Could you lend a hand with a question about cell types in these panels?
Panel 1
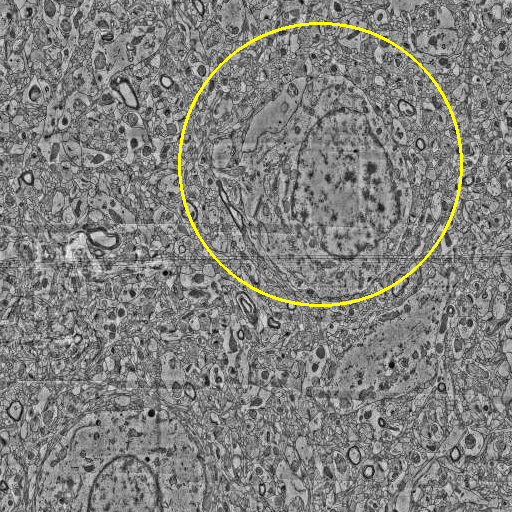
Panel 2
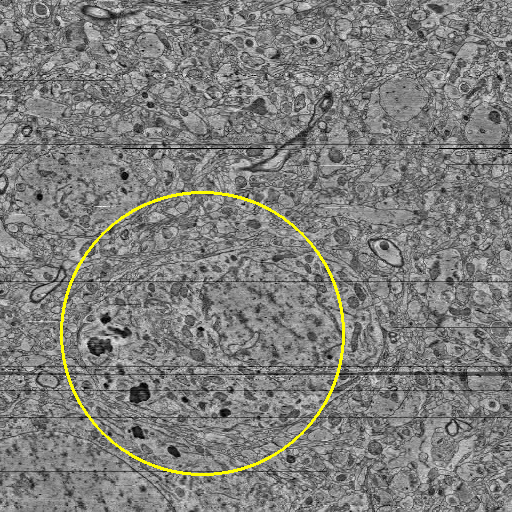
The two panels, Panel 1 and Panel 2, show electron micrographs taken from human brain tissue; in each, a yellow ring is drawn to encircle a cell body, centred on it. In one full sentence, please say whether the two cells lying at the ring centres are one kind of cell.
Yes, the cells at the ring centres in the two panels are one kind of cell.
